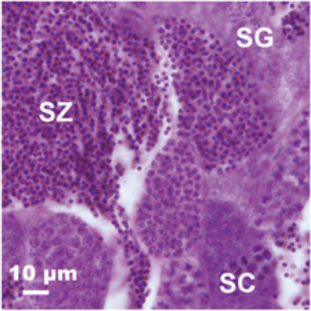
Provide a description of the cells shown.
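This is testis tissue showing germ cells at several stages of spermatogenesis arranged in clusters. Large masses of very small, round, dense dark-purple spermatozoa fill much of the field, many lying free in lumina. Groups of spermatocytes with round, darkly stained nuclei form compact clusters. Spermatogonia are the larger cells with paler, round nuclei and more visible cytoplasm, lying in small groups. The germ cell clusters are separated by thin strands of pale pink interstitial tissue and narrow clefts. Overall the section is dominated by mature spermatozoa, indicating active sperm production.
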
